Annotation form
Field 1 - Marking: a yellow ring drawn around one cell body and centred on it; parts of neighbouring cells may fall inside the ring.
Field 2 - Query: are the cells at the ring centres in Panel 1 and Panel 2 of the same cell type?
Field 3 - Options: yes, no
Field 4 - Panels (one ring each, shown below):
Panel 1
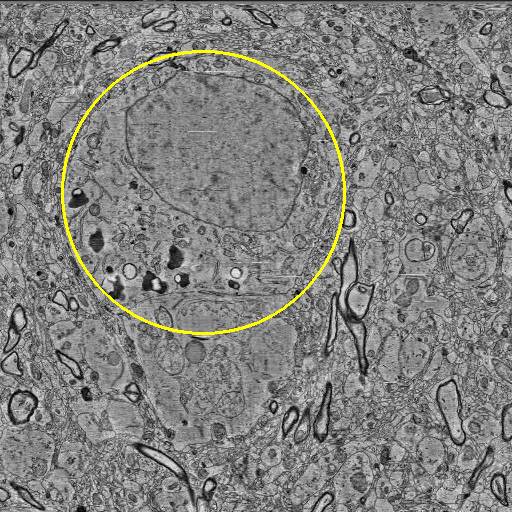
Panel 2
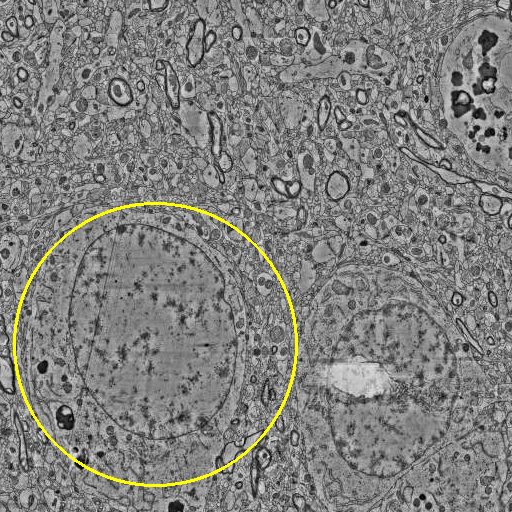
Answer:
yes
